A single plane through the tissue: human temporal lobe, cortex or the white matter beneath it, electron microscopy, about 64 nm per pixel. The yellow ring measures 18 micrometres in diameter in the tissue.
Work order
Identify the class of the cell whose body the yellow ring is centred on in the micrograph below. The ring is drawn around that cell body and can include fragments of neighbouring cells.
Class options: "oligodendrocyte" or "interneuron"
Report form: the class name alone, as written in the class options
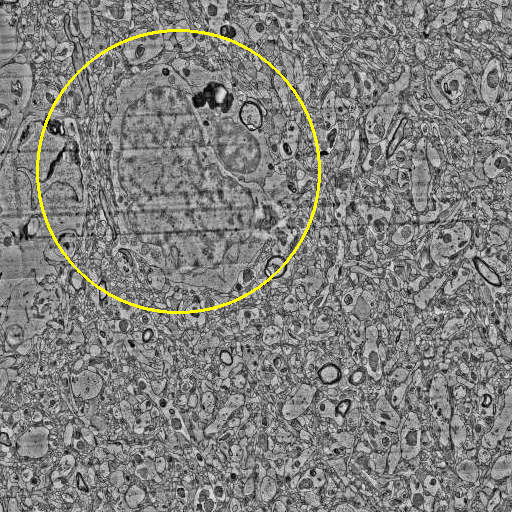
interneuron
